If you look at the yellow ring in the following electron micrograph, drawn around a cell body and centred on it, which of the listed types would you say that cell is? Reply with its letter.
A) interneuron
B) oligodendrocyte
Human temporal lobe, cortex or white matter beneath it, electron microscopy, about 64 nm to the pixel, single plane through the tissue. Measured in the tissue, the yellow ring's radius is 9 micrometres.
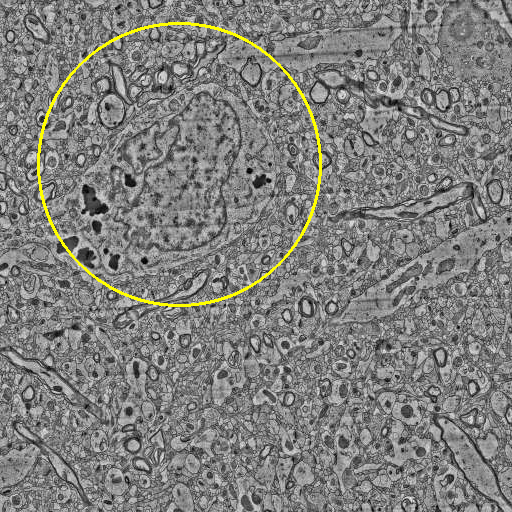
A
